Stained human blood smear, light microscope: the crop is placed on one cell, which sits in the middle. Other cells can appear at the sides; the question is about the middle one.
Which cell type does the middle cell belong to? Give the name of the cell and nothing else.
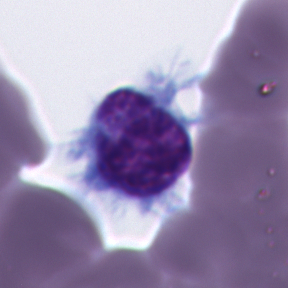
hairy cell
